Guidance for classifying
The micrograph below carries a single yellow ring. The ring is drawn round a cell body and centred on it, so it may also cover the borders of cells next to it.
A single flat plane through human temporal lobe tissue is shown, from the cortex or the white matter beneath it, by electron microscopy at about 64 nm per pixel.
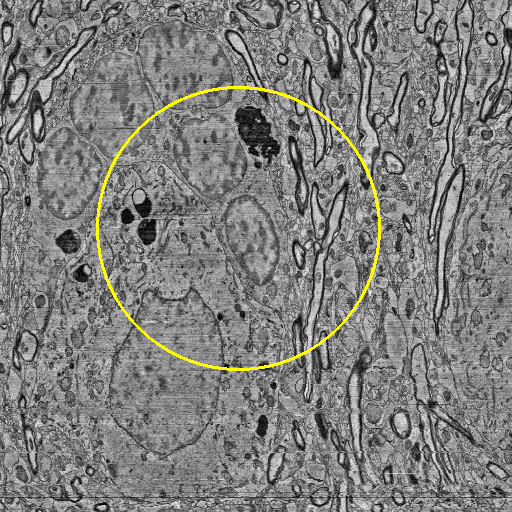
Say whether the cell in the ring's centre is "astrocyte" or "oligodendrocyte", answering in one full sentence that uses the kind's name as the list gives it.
Within the yellow ring, an oligodendrocyte is the cell whose body sits at the centre.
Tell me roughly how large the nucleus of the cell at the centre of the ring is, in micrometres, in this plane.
The nucleus of the ringed cell is approximately 6 by 3 micrometres in this plane.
